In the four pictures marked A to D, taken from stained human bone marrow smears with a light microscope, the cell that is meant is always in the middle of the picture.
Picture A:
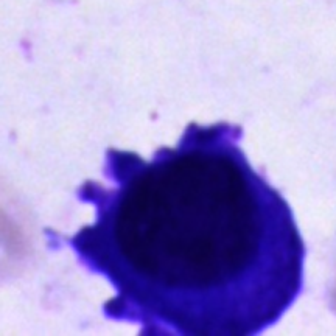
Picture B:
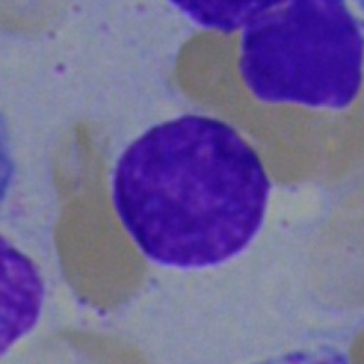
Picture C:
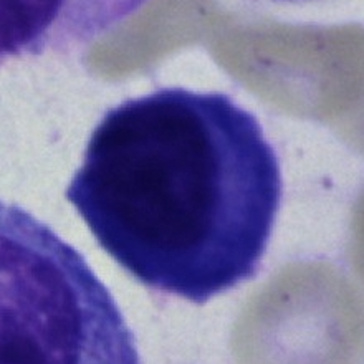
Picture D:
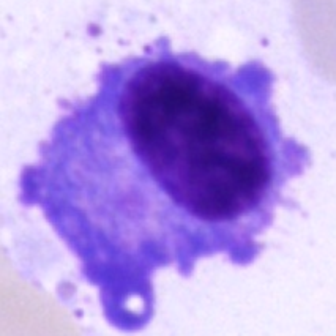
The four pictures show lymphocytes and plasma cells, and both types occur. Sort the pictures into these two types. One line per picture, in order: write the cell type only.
plasma cell
lymphocyte
plasma cell
plasma cell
